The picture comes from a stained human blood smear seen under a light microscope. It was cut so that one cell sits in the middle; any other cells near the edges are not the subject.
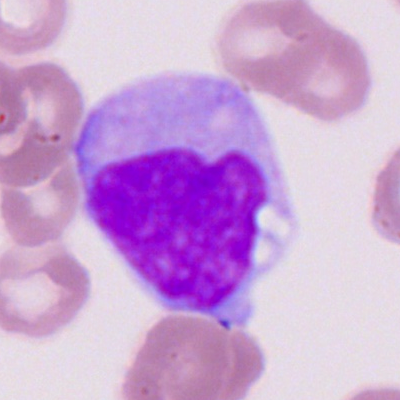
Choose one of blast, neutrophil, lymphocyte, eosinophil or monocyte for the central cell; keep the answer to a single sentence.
Seen at the centre of the crop is a monocyte.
